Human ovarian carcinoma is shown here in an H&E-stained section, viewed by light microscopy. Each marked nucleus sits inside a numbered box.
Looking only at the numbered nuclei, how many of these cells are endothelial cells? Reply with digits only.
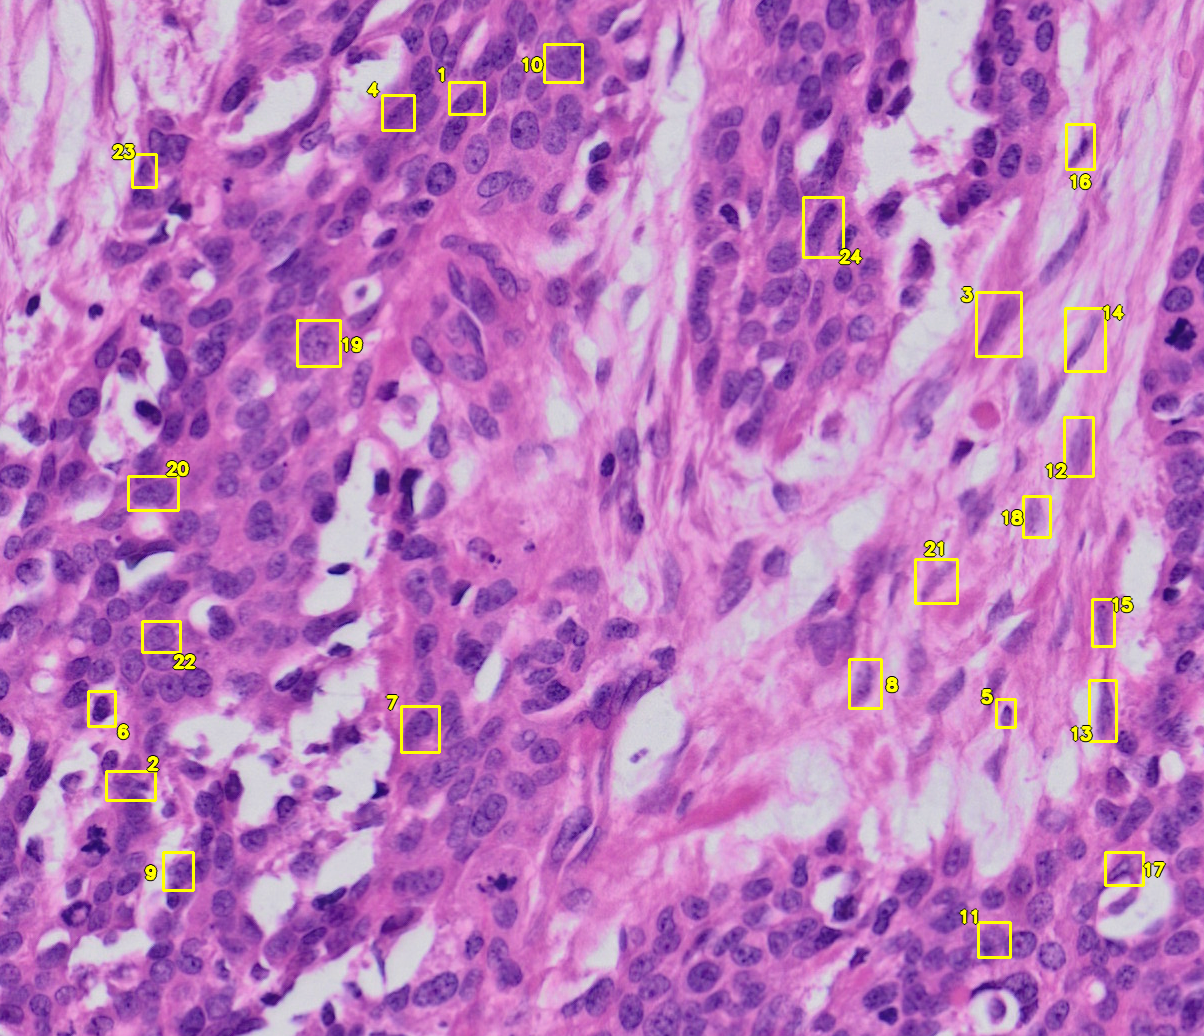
1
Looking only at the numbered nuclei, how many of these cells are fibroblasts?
10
